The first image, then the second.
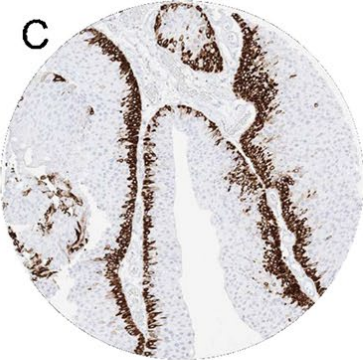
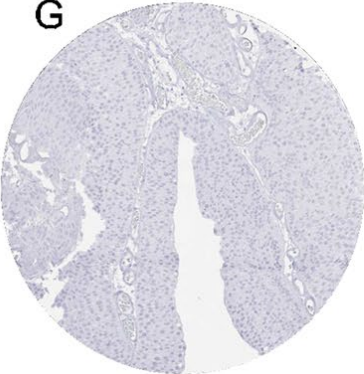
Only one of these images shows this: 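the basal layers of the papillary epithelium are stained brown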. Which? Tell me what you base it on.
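Second image: the papillary epithelium is wholly blue, with no brown stain. First image: a dark brown band lines the epithelium along the stromal cores, while the upper layers stay pale.
Answer: the first image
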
